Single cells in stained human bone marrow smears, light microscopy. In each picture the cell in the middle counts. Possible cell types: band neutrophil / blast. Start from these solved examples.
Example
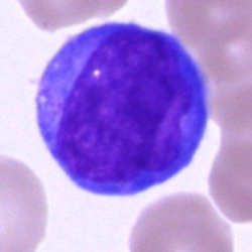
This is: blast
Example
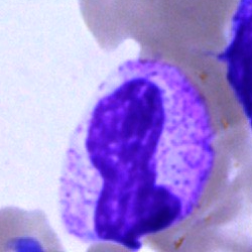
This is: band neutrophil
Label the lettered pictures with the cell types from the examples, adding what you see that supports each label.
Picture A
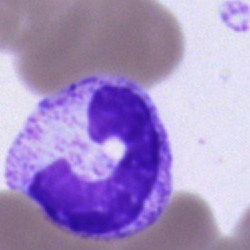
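band neutrophil. Evidence: The nucleus is bent into a C shape whose opening faces left.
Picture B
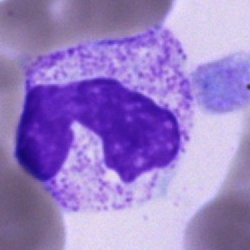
band neutrophil. Evidence: The cytoplasm is plentiful and forms its broadest part above the nucleus.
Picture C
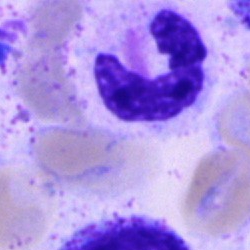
band neutrophil. Evidence: The nucleus is a single curved band shaped like a horseshoe, with its opening facing upward.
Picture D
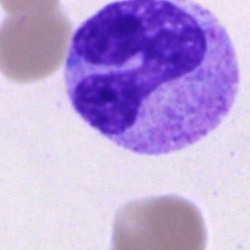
band neutrophil. Evidence: The chromatin is dark purple and coarsely clumped.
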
